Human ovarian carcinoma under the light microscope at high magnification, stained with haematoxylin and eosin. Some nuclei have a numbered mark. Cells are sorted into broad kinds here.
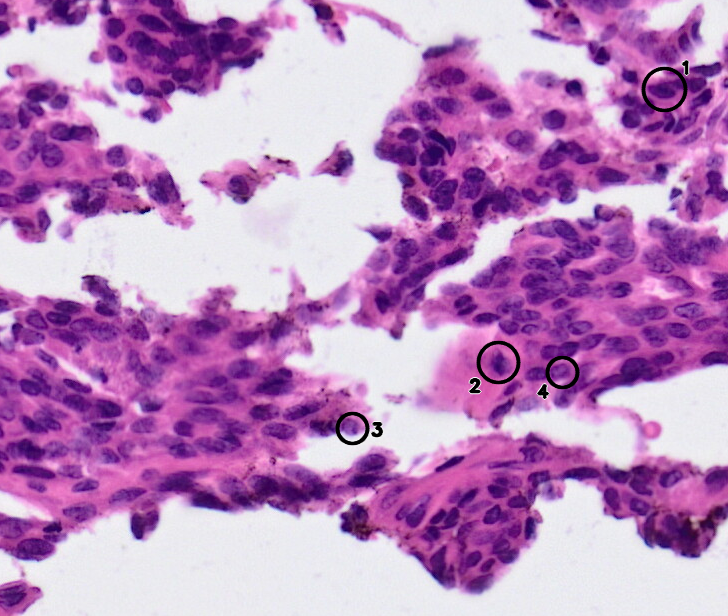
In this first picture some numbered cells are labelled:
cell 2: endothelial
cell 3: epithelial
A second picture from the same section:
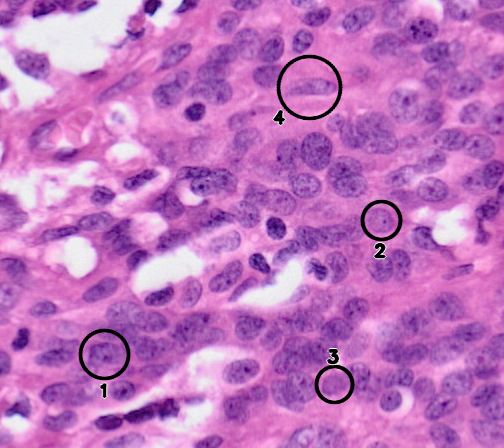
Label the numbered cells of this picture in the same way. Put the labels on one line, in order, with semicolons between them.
epithelial; epithelial; epithelial; endothelial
